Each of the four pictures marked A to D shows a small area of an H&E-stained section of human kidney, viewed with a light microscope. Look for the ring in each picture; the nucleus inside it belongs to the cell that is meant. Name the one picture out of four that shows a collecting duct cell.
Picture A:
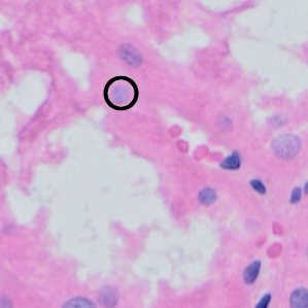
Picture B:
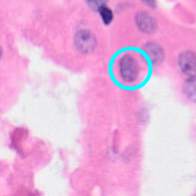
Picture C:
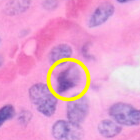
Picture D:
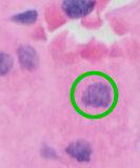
C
